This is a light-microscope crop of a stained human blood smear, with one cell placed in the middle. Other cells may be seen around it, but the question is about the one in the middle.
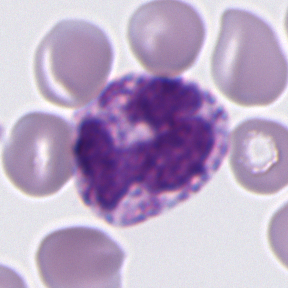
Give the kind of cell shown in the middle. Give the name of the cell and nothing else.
basophil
